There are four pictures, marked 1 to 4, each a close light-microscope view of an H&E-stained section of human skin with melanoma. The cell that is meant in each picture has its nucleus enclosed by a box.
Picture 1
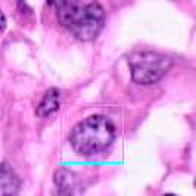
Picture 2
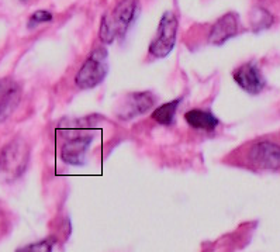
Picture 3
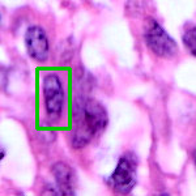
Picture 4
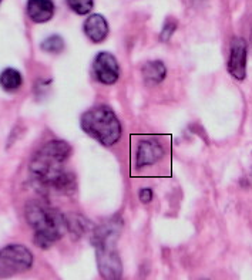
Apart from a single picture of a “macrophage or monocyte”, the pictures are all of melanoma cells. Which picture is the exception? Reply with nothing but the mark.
4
